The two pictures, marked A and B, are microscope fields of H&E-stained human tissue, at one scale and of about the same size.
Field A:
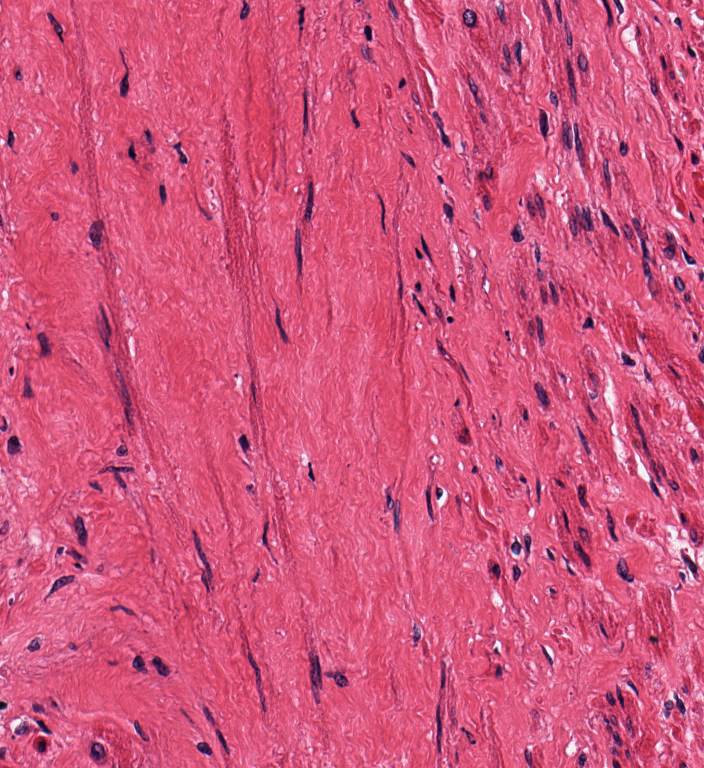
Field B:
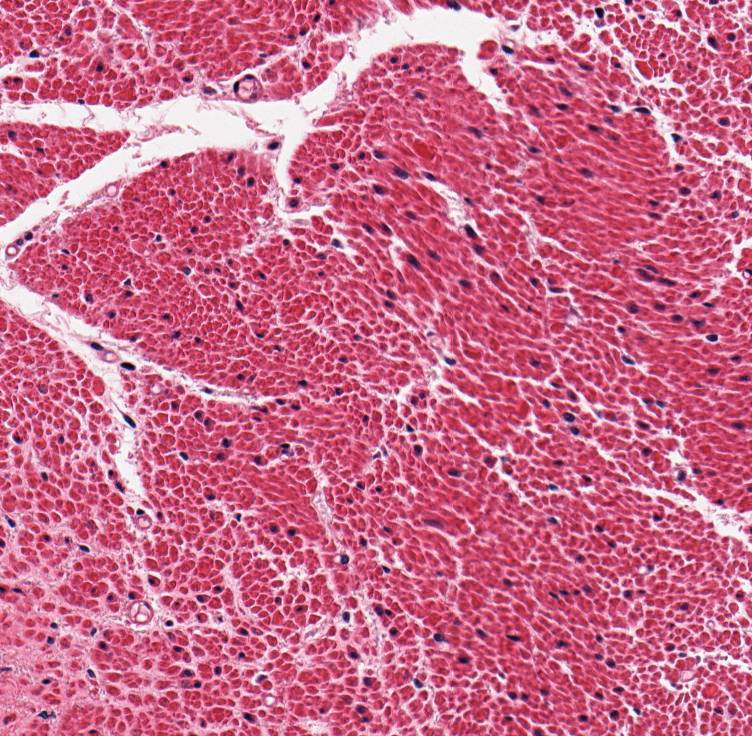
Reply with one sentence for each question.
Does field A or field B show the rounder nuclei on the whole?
Rounder nuclei lie in field B.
